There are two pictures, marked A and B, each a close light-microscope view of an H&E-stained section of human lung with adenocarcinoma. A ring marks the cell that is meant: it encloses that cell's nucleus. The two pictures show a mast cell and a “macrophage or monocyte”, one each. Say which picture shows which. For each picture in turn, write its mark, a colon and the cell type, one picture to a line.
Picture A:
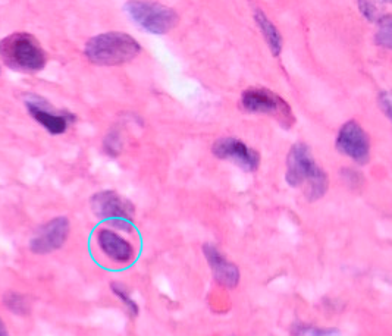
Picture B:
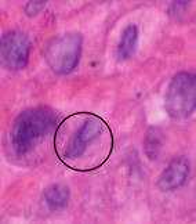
A: mast cell
B: macrophage or monocyte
